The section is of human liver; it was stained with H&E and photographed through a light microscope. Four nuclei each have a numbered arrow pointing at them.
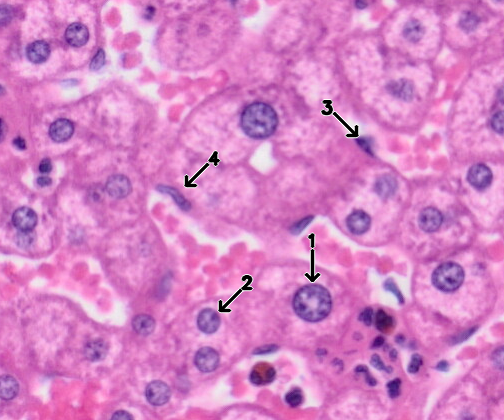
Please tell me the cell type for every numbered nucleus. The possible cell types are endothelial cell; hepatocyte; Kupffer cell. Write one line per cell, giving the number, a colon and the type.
1: hepatocyte
2: hepatocyte
3: endothelial cell
4: Kupffer cell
